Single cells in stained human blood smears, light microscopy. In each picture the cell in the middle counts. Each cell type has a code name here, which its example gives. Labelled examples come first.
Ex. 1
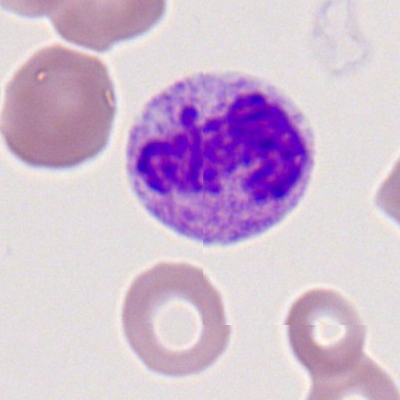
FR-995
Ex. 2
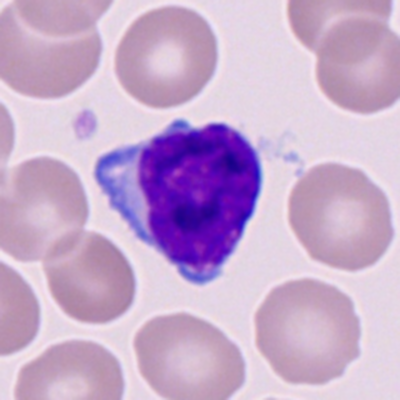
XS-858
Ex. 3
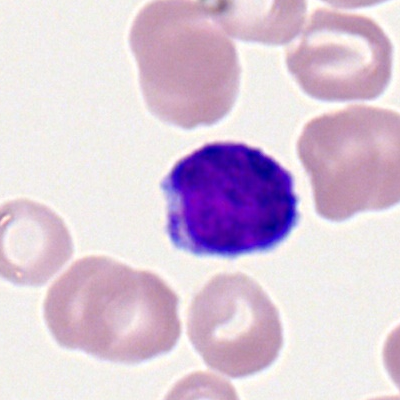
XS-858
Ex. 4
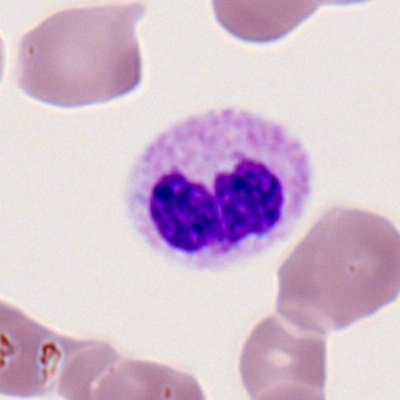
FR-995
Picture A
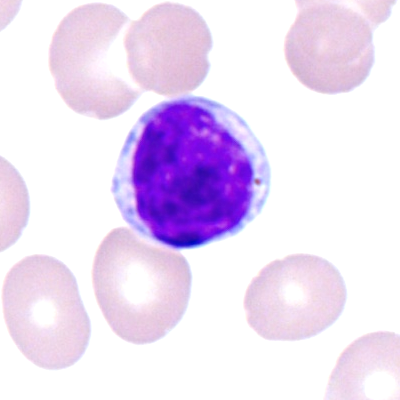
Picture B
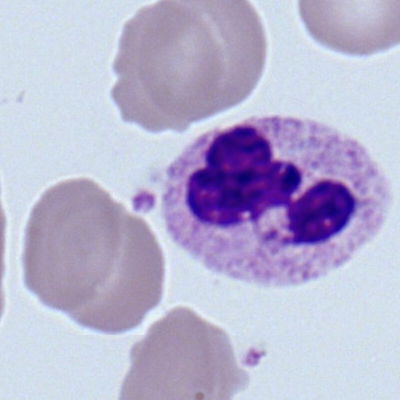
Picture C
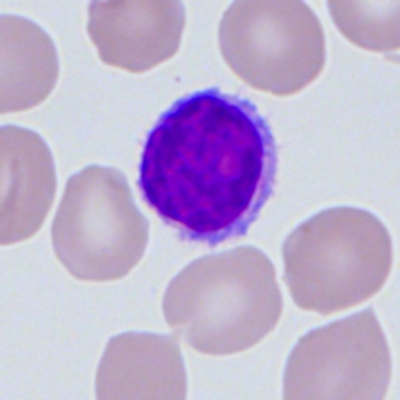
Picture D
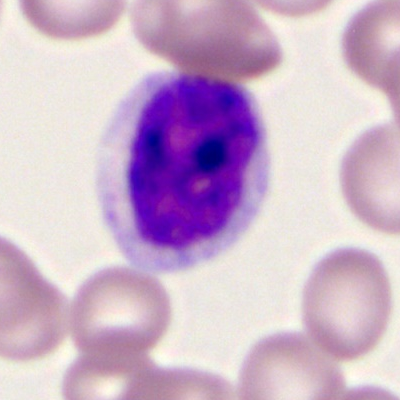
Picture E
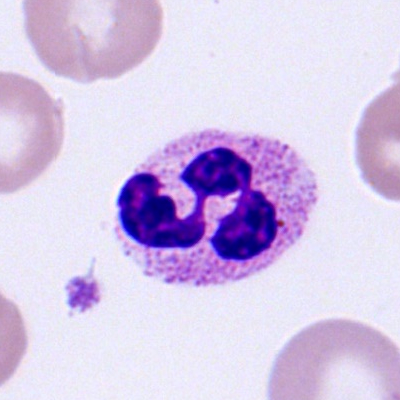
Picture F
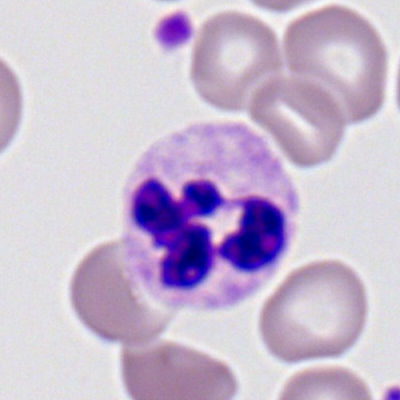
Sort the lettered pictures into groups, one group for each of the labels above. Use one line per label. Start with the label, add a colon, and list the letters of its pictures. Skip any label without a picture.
FR-995: B, E, F
XS-858: A, C, D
